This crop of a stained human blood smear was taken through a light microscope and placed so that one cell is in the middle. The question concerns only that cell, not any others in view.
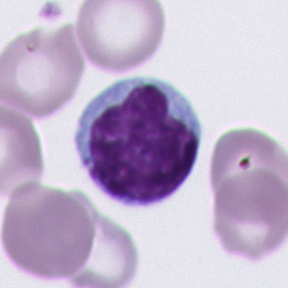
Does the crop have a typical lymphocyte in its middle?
yes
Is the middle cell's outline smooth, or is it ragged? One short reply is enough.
No surface projections are present; the cell outline is smooth.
